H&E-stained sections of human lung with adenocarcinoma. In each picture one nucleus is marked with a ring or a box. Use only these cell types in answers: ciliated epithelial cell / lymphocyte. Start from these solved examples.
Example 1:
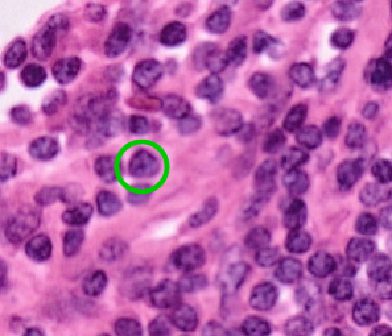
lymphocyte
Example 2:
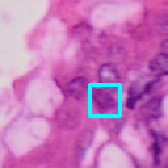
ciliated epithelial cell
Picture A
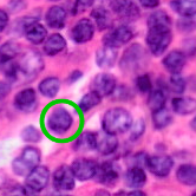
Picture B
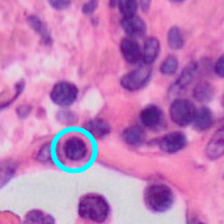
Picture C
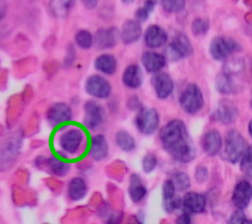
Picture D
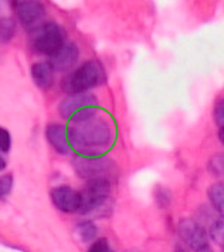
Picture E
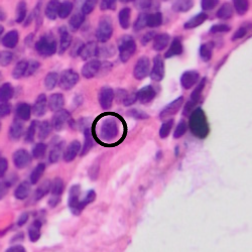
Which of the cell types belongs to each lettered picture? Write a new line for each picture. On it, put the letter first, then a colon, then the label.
A: lymphocyte
B: lymphocyte
C: lymphocyte
D: ciliated epithelial cell
E: lymphocyte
